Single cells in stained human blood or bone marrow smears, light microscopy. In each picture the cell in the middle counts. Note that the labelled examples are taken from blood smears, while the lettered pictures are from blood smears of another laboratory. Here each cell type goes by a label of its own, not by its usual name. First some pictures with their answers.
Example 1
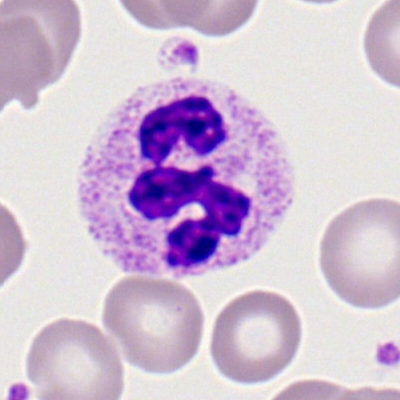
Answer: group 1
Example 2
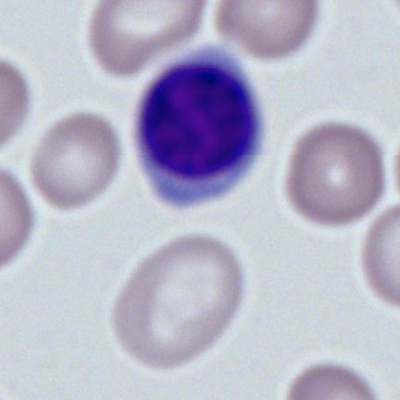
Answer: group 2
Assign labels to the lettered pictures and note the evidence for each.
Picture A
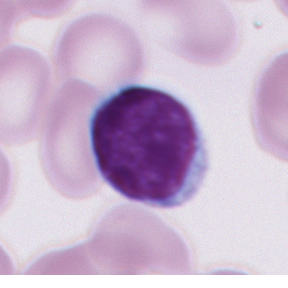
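Label: group 2. The cytoplasm forms a thin crescent that is widest at the lower right.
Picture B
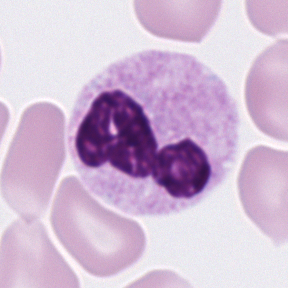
Label: group 1. The nucleus is divided into two lobes.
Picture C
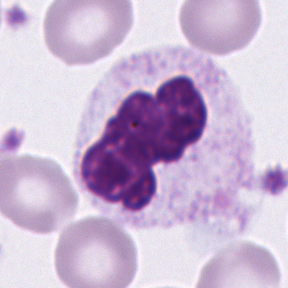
Label: group 1. The nuclear lobes are joined by broad bands rather than thin threads.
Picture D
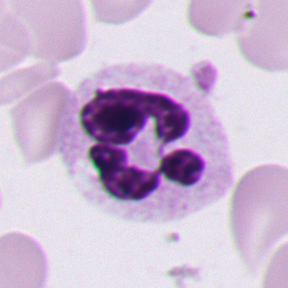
Label: group 1. The cytoplasm is plentiful and pale pinkish-lilac.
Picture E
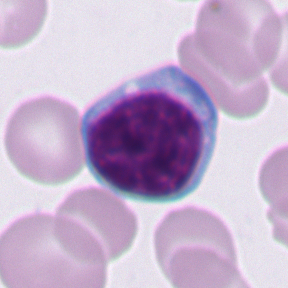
Label: group 2. The nucleus fills most of the cell.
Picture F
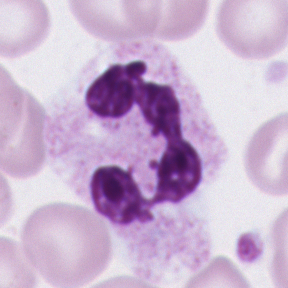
Label: group 1. The cytoplasm is abundant and pale pinkish-lilac.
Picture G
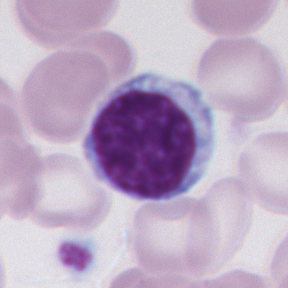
Label: group 2. The cytoplasm forms a narrow rim that is widest at the upper right.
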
